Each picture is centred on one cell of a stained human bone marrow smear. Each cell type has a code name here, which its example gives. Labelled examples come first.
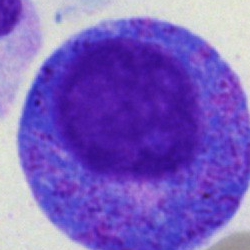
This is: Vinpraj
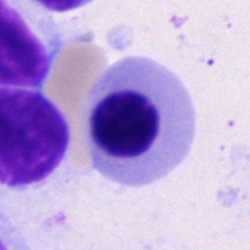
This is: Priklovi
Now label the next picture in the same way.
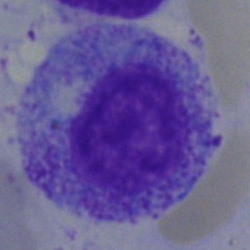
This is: Vinpraj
